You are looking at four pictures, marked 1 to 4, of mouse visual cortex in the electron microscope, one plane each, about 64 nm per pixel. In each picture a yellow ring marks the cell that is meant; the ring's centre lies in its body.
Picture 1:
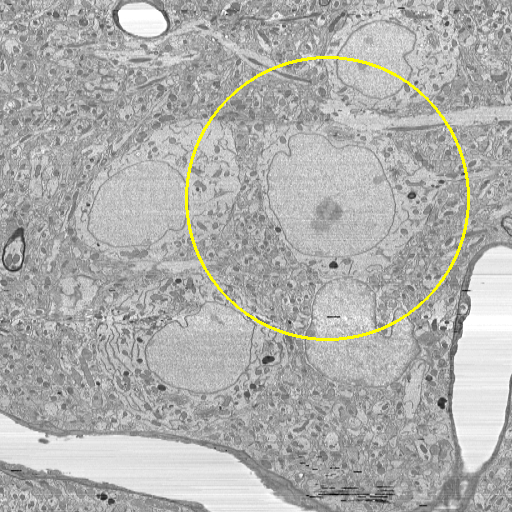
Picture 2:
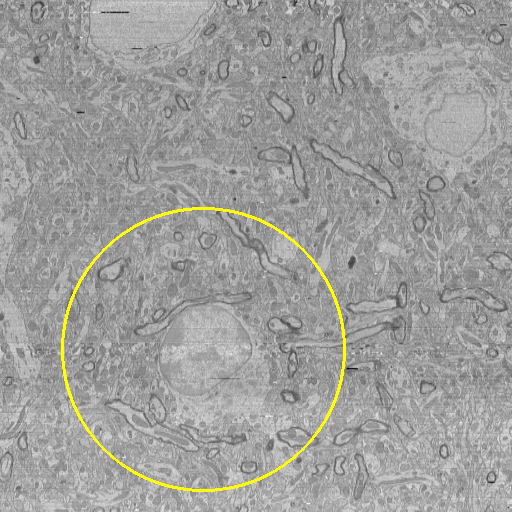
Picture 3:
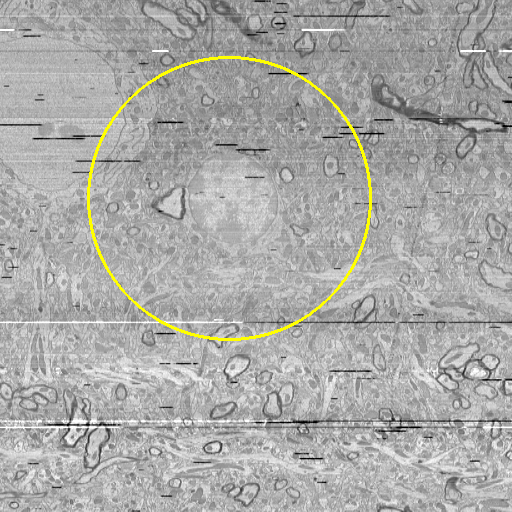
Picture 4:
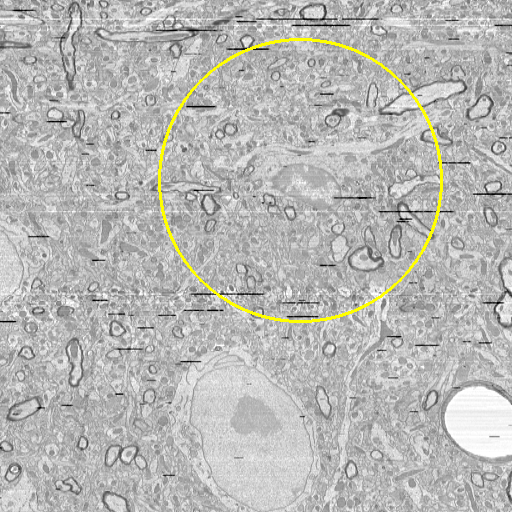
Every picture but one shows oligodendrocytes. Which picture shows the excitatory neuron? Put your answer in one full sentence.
The picture with the excitatory neuron is 1.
